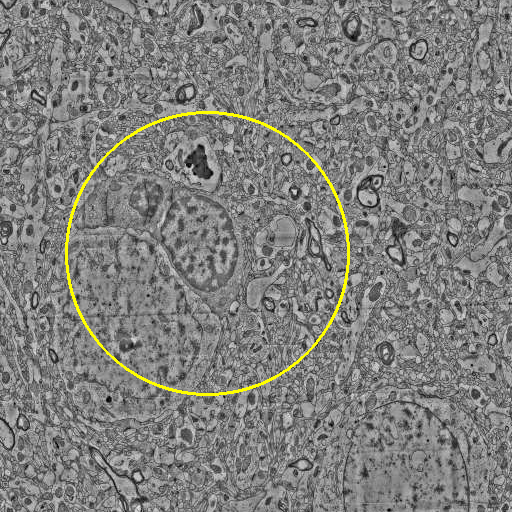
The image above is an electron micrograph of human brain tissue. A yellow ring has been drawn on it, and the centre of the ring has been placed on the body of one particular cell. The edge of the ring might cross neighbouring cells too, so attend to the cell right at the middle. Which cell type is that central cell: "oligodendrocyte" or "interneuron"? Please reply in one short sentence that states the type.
The central cell in the ring is an oligodendrocyte.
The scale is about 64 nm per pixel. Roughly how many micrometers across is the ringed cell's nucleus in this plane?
Roughly 6 micrometres by 5 micrometres, in this plane.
